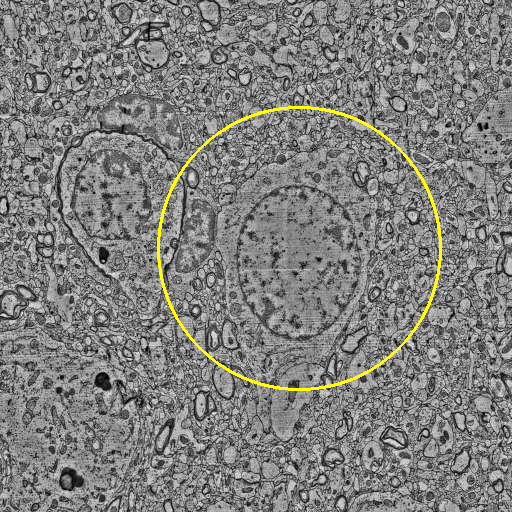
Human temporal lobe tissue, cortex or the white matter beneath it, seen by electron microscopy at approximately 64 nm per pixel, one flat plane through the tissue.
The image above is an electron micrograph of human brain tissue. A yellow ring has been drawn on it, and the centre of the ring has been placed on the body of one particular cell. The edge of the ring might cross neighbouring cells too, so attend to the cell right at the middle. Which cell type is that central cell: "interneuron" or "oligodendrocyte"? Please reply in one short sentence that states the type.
The central cell in the ring is an interneuron.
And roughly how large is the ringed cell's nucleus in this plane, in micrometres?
Approximately 10 by 8 micrometers in this plane.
